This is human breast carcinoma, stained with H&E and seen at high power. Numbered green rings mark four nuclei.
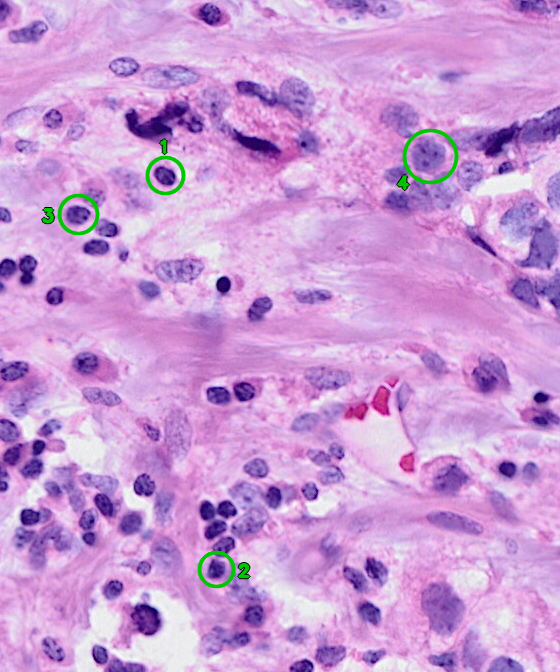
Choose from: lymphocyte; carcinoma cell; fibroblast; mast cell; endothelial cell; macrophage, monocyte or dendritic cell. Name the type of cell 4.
carcinoma cell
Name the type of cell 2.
lymphocyte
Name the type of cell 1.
lymphocyte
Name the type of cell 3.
lymphocyte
